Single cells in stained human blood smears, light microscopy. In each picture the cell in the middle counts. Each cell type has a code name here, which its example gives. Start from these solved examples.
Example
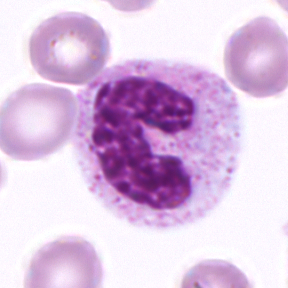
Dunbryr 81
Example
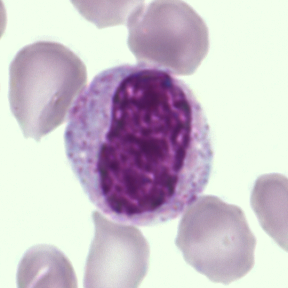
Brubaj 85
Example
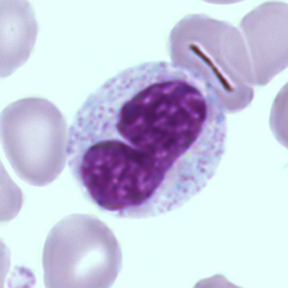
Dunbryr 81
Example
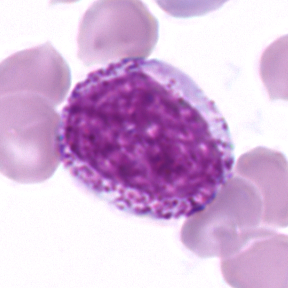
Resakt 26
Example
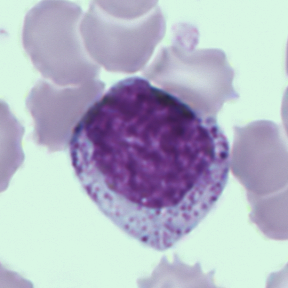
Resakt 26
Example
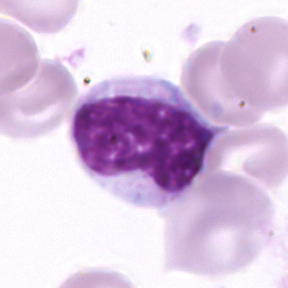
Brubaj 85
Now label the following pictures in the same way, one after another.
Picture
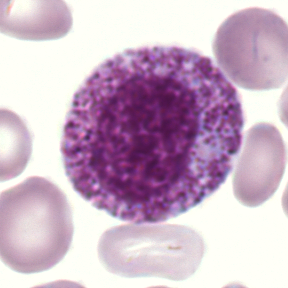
Resakt 26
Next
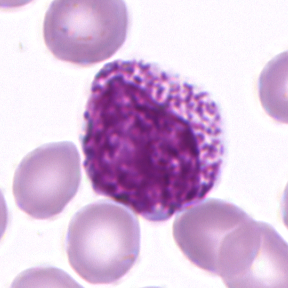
Brubaj 85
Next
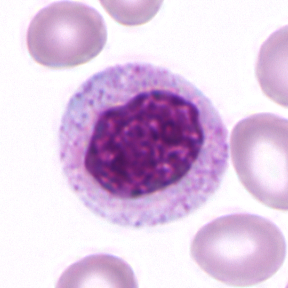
Brubaj 85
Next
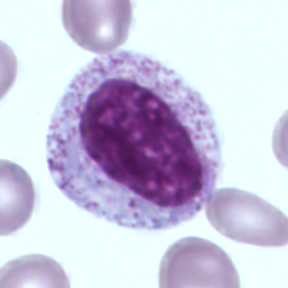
Resakt 26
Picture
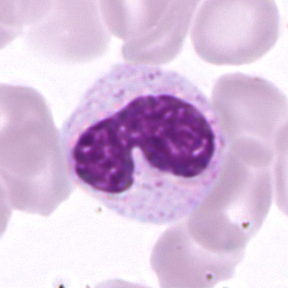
Dunbryr 81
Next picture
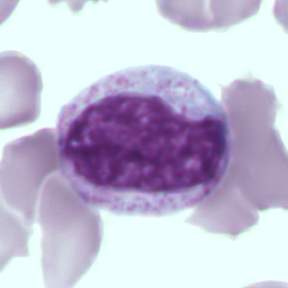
Brubaj 85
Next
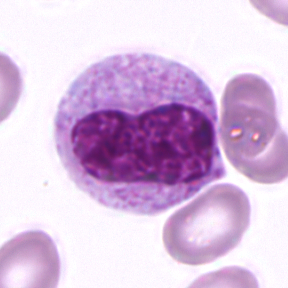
Brubaj 85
